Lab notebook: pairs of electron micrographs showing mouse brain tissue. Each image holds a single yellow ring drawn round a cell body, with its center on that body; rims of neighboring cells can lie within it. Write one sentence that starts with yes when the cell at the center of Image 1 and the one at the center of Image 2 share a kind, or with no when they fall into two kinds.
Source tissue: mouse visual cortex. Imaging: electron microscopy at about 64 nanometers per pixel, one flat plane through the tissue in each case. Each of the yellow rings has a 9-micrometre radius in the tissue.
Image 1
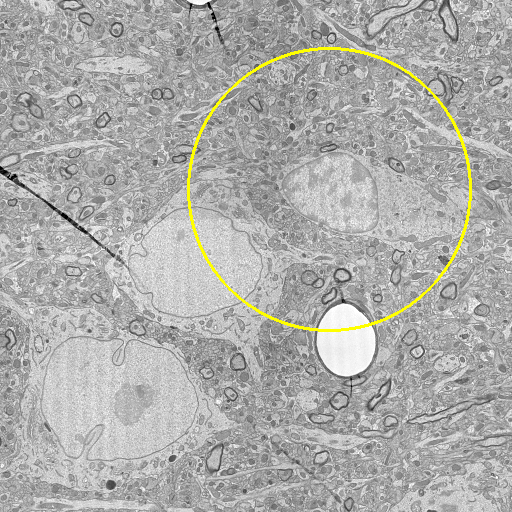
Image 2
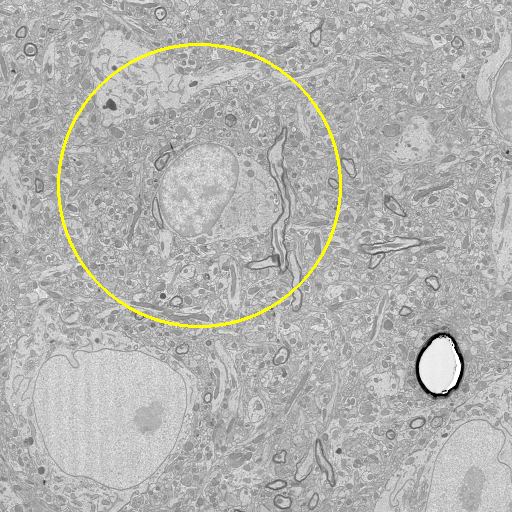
Yes, the centered cell in Image 1 and the centered cell in Image 2 are of one kind.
